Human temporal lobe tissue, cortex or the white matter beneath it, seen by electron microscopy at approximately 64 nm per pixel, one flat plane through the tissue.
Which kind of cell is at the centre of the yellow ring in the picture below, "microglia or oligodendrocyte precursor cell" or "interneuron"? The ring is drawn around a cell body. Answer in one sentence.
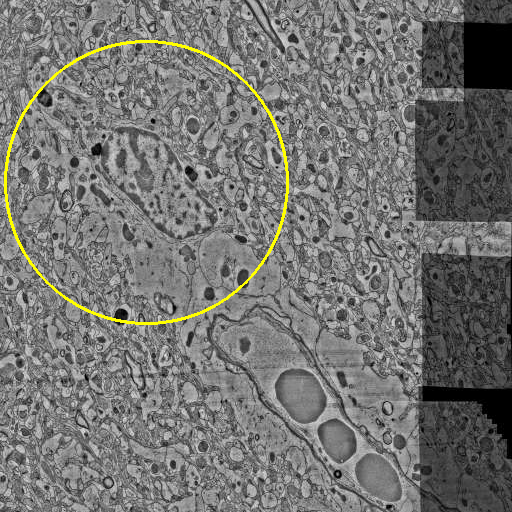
The ring's central cell is a microglial cell or oligodendrocyte precursor cell.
